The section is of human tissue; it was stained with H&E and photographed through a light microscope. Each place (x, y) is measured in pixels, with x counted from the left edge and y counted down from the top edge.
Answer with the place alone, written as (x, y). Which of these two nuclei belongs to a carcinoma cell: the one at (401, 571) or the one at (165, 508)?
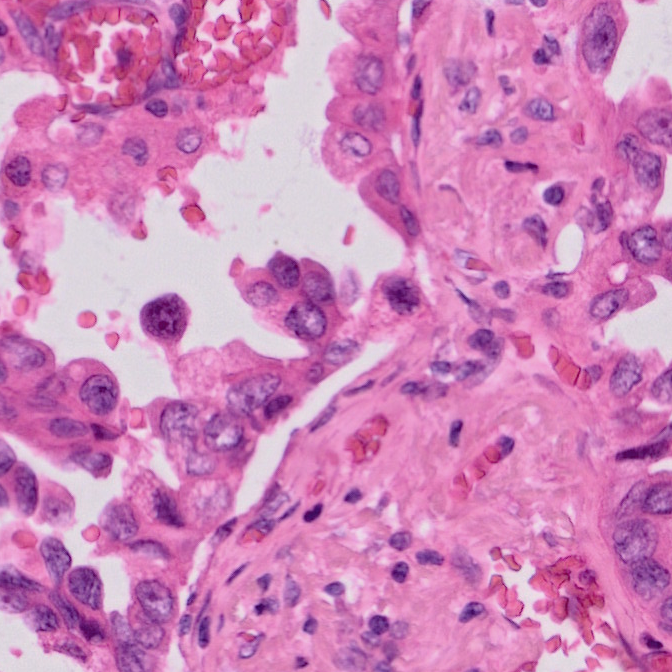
(165, 508)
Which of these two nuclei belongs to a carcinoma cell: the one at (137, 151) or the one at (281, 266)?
(281, 266)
